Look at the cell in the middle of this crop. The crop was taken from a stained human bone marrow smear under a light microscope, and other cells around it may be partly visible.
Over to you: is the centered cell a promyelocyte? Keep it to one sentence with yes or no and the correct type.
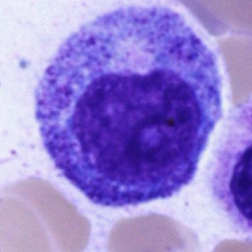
Yes, the cell occupying the middle of the crop is a promyelocyte.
